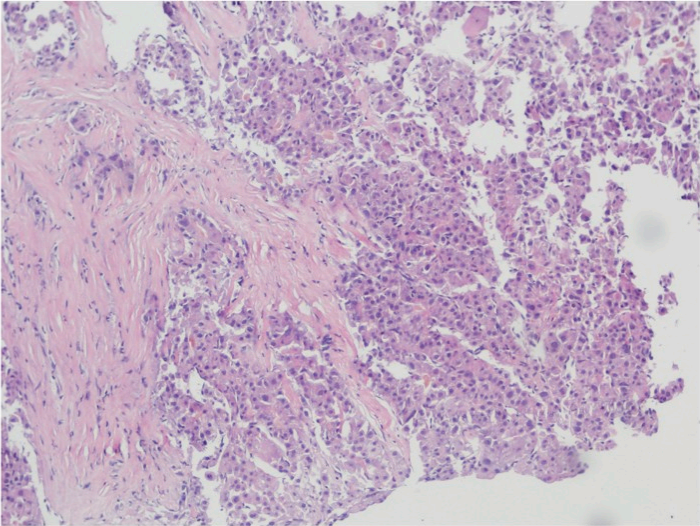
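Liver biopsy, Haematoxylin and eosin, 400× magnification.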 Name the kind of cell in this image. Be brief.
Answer: Hepatocellular carcinoma cells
